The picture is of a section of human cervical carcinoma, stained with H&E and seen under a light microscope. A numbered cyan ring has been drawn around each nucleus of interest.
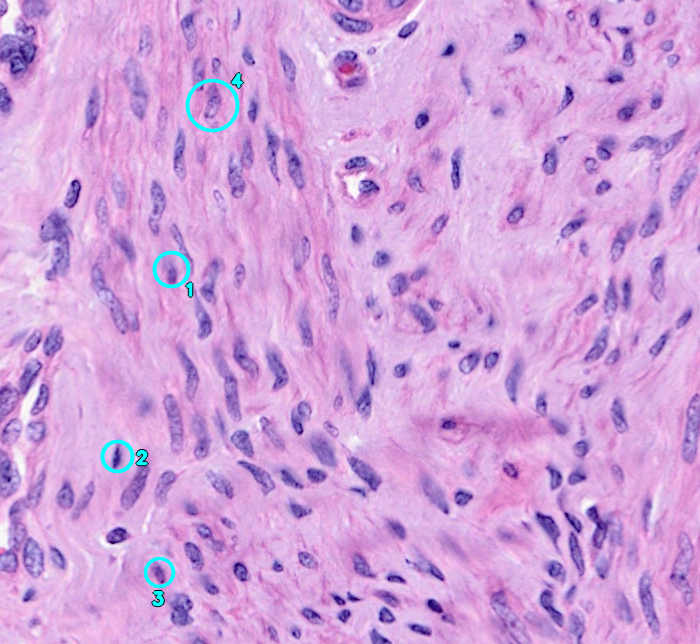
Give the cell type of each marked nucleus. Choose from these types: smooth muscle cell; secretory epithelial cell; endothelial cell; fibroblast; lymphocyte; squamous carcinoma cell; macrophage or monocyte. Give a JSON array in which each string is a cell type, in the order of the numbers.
["smooth muscle cell", "fibroblast", "smooth muscle cell", "smooth muscle cell"]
